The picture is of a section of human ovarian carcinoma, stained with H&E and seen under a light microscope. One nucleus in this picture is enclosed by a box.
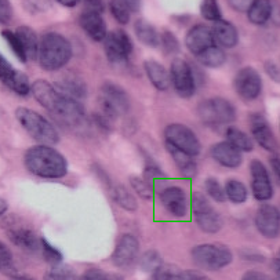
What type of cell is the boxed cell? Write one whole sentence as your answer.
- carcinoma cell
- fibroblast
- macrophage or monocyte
In the context of this tissue, the boxed cell is a carcinoma cell.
